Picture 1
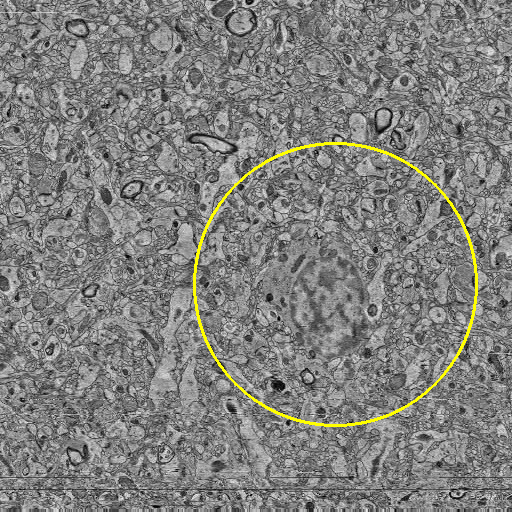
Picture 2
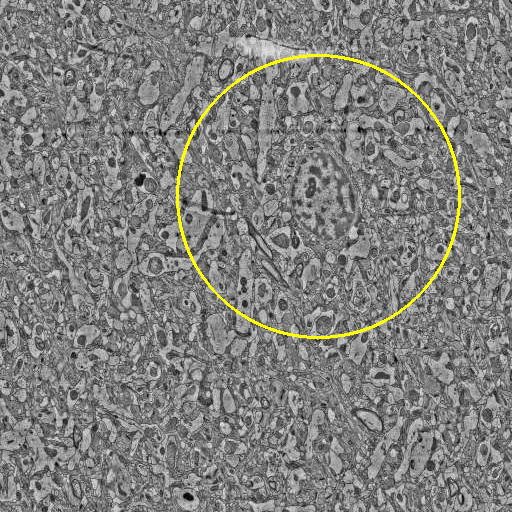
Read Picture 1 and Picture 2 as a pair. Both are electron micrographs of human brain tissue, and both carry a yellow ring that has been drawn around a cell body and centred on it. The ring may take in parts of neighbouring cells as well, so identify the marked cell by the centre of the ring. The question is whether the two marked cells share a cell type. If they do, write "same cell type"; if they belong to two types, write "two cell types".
same cell type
